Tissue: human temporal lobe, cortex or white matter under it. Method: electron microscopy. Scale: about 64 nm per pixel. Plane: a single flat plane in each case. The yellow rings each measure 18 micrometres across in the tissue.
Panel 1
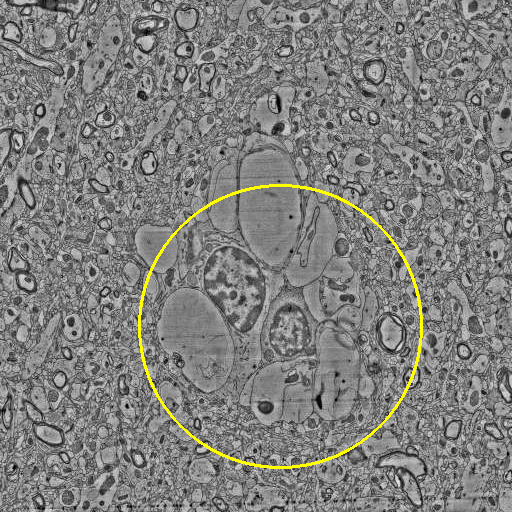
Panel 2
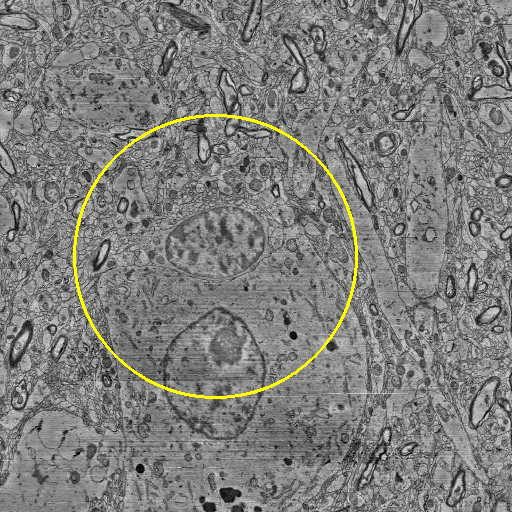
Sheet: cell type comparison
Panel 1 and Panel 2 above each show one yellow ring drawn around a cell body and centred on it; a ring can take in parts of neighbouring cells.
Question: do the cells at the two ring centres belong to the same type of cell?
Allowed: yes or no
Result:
yes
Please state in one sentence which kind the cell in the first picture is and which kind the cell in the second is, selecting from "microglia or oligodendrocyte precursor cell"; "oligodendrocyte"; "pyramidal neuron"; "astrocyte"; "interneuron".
Both rings mark an oligodendrocyte, one in each picture.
